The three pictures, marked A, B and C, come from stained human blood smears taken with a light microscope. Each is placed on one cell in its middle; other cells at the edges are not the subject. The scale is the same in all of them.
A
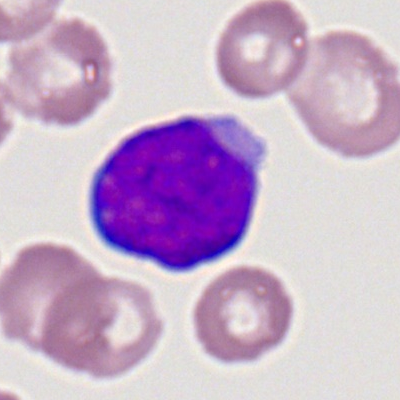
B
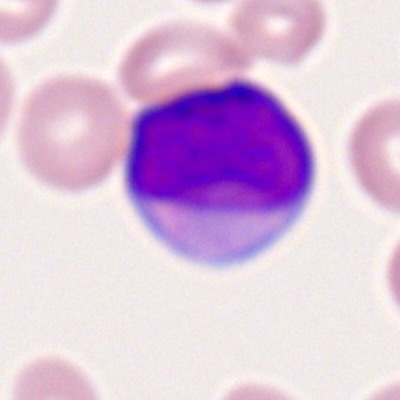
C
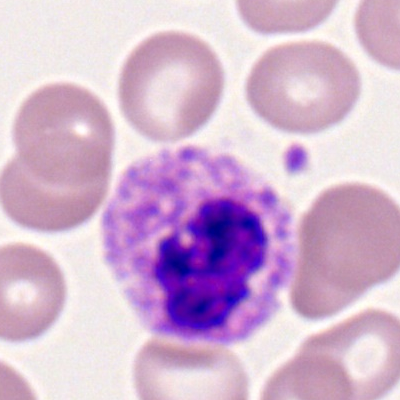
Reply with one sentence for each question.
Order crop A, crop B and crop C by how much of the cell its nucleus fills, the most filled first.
From the most filled to the least, the order is A, B, C.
